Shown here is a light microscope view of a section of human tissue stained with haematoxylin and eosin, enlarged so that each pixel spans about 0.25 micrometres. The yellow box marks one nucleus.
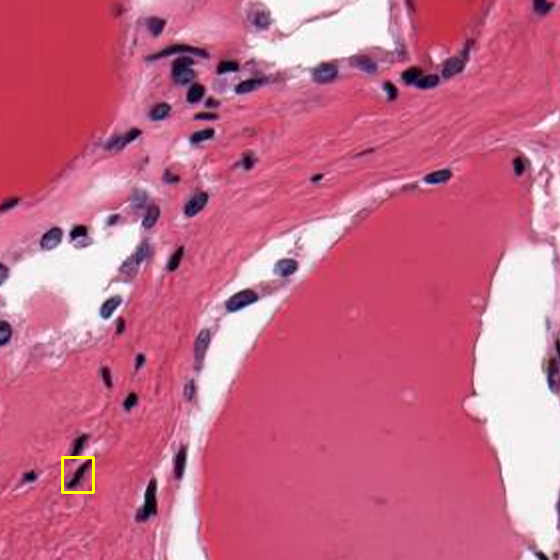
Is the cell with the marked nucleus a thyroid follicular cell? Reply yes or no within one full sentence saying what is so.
No, as for the marked nucleus, it belongs to a supporting cell and not to a thyroid follicular cell.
